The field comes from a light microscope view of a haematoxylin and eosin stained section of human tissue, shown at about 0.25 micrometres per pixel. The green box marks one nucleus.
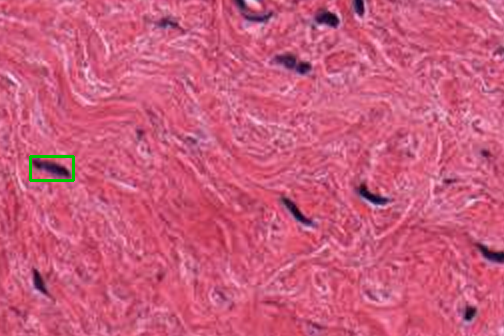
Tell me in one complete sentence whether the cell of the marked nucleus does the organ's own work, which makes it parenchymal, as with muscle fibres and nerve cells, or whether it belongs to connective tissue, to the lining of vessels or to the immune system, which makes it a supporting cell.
The marked nucleus is attributed to a supporting cell.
